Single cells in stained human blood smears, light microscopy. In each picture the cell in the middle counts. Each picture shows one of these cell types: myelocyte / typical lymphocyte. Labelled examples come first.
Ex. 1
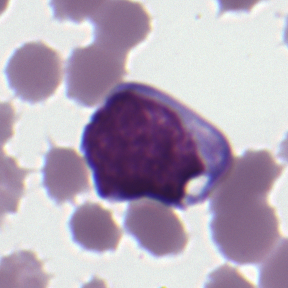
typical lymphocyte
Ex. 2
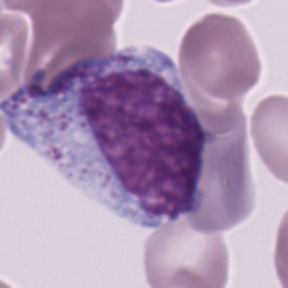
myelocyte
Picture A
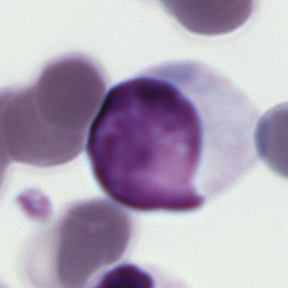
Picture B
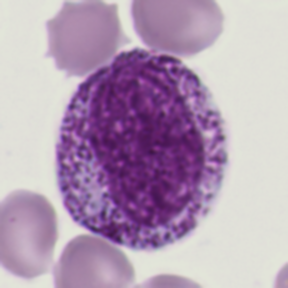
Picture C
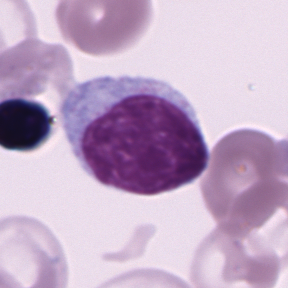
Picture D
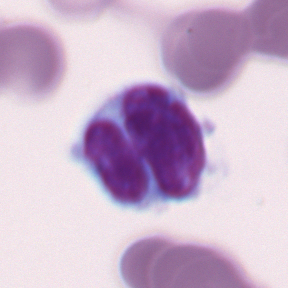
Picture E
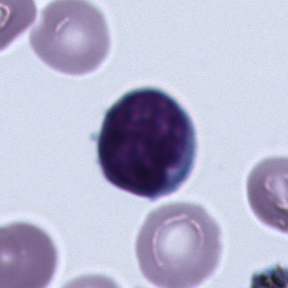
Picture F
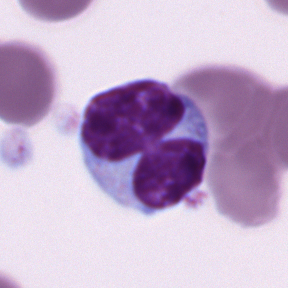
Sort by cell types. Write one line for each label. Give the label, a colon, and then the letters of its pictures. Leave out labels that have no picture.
myelocyte: B
typical lymphocyte: A, C, D, E, F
